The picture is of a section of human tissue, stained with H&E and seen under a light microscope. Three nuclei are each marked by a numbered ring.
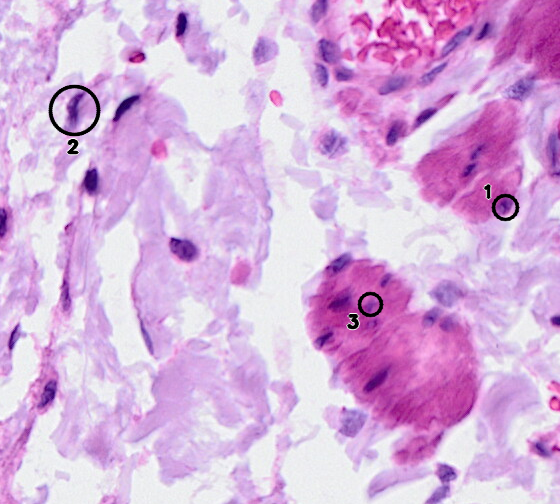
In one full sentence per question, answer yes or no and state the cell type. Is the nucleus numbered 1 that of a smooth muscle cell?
Yes, with respect to number 1, the cell is a smooth muscle cell.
